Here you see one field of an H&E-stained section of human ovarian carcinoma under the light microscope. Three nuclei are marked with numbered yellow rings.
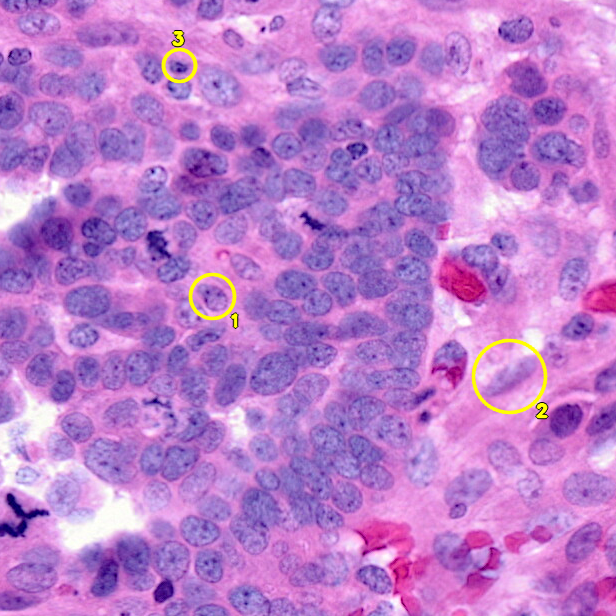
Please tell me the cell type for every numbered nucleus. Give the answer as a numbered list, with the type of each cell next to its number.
1. macrophage or monocyte
2. fibroblast
3. lymphocyte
